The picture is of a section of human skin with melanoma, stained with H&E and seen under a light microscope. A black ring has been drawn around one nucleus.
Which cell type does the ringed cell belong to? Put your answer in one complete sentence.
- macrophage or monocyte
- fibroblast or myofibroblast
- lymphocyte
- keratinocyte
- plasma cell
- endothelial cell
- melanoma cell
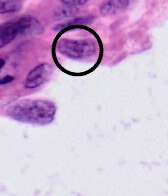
As classified here, the ringed cell is a melanoma cell.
